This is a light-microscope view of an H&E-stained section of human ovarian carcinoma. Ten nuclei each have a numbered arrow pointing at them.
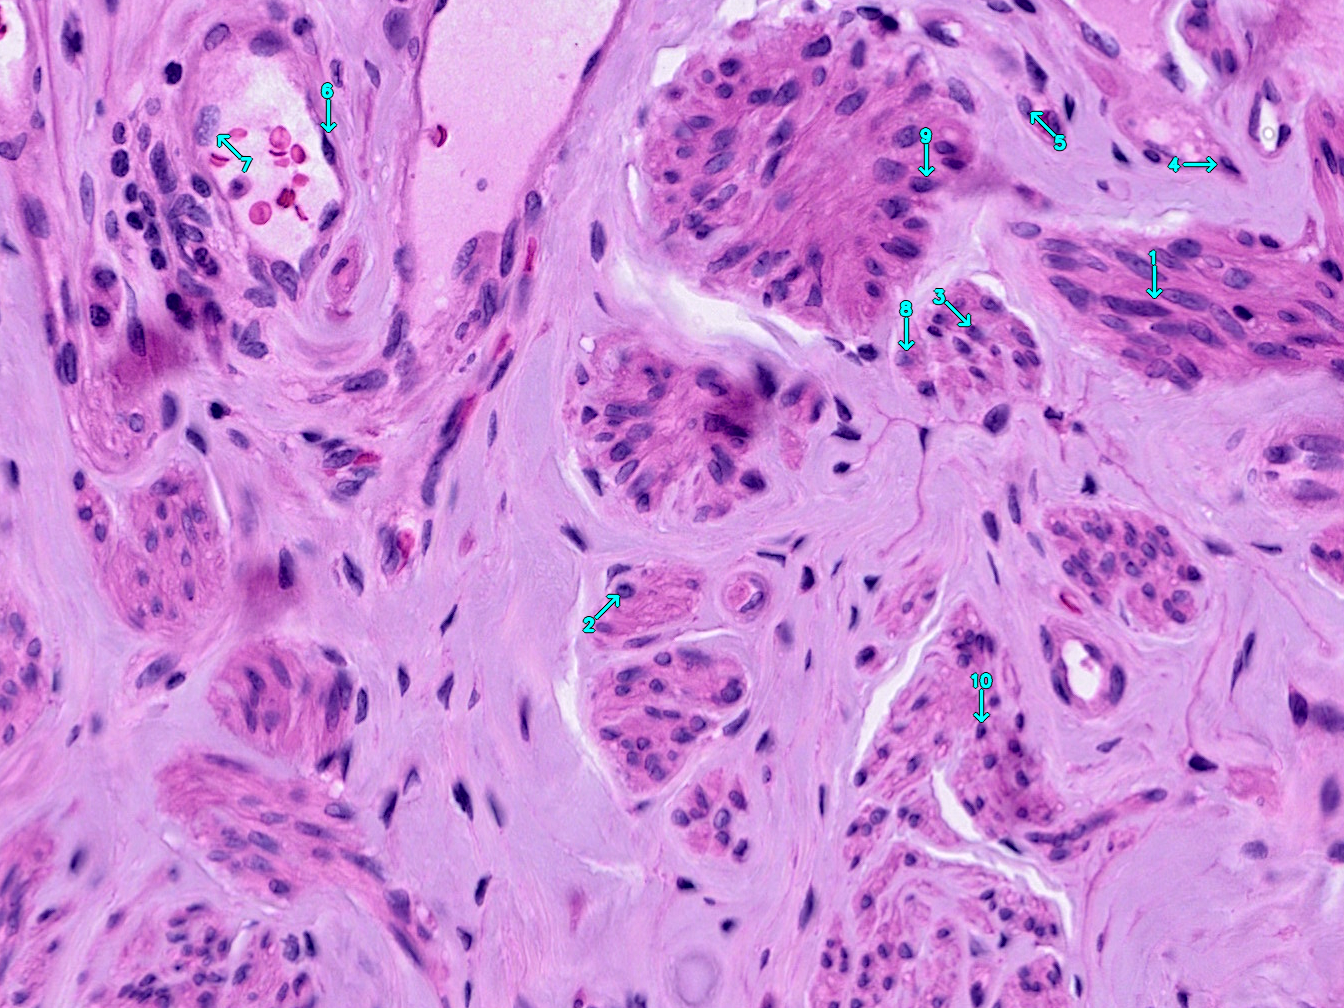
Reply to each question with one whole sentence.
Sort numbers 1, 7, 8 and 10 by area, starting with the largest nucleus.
From largest to smallest, the order is 7, 1, 8, 10.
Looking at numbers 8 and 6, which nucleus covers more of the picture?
Nucleus 6 is larger, with an area about 1.5 times that of nucleus 8.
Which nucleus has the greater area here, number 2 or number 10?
It is nucleus 2, which covers about 1.5 times the area of nucleus 10.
